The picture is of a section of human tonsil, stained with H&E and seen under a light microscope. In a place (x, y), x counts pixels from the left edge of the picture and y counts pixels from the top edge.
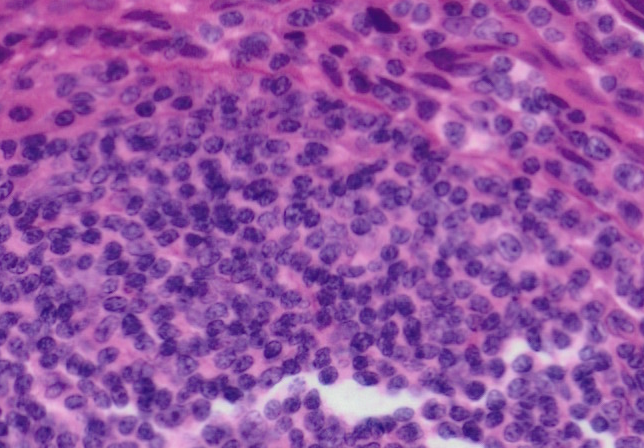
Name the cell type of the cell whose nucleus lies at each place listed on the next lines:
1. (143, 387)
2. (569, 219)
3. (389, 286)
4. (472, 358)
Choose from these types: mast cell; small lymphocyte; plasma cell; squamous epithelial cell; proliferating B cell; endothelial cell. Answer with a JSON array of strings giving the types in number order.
["small lymphocyte", "plasma cell", "small lymphocyte", "small lymphocyte"]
